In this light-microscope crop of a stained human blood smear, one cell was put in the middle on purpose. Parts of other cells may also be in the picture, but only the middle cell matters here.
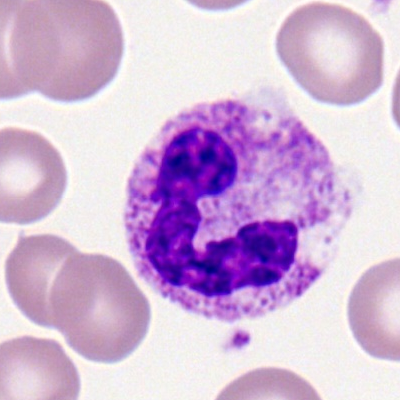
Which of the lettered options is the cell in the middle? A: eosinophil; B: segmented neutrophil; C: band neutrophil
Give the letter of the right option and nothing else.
B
